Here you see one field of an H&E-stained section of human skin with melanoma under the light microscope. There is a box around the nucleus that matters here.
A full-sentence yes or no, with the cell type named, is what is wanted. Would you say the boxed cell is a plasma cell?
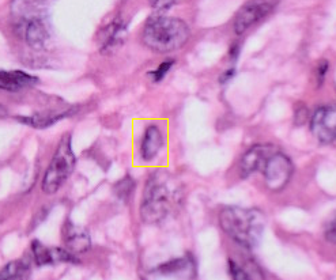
No, it is not a plasma cell but a macrophage or monocyte that the boxed cell represents.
